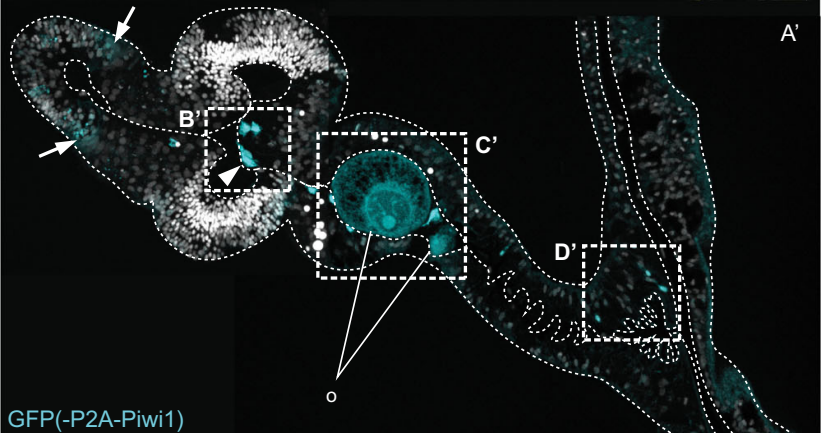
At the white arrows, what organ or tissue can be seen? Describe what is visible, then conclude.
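Arrows point to the outer lobe of the tip of the mesentery. The marked lobe lies beyond the densely nucleated ciliated lobes. On this evidence: cnidoglandular tract.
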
